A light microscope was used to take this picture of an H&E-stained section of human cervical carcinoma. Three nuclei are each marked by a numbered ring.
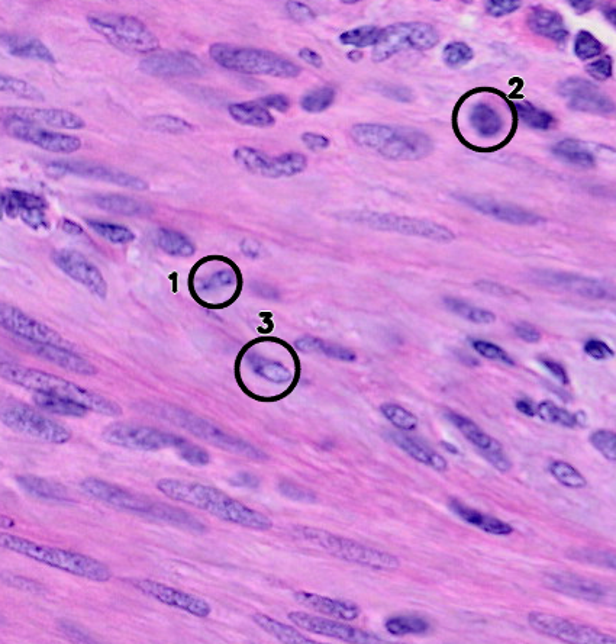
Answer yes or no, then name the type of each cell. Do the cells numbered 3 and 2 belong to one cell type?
No, cell 3 is a smooth muscle cell and cell 2 is a lymphocyte.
